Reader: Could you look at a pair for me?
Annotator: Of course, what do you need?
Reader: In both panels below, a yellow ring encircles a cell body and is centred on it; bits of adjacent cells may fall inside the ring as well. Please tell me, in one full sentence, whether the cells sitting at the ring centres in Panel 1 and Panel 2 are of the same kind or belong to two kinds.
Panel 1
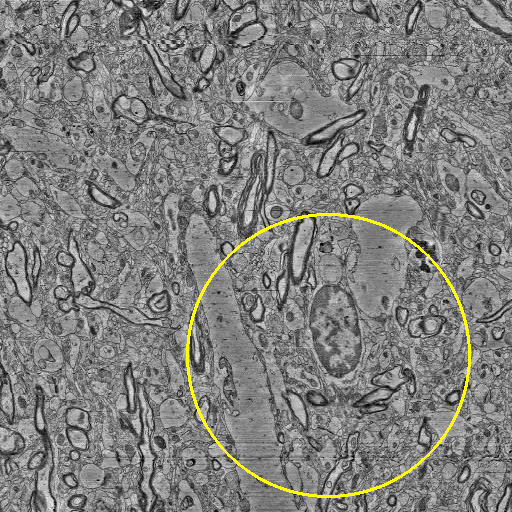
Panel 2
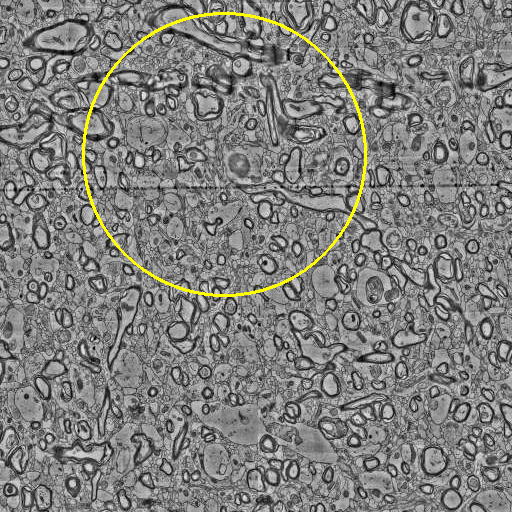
The cell at the ring's centre in Panel 1 and the one in Panel 2 are of the same kind.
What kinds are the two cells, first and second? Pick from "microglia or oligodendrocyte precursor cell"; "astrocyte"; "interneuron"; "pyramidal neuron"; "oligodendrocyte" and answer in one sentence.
The ring centre holds a microglial cell or oligodendrocyte precursor cell in each of the two pictures.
